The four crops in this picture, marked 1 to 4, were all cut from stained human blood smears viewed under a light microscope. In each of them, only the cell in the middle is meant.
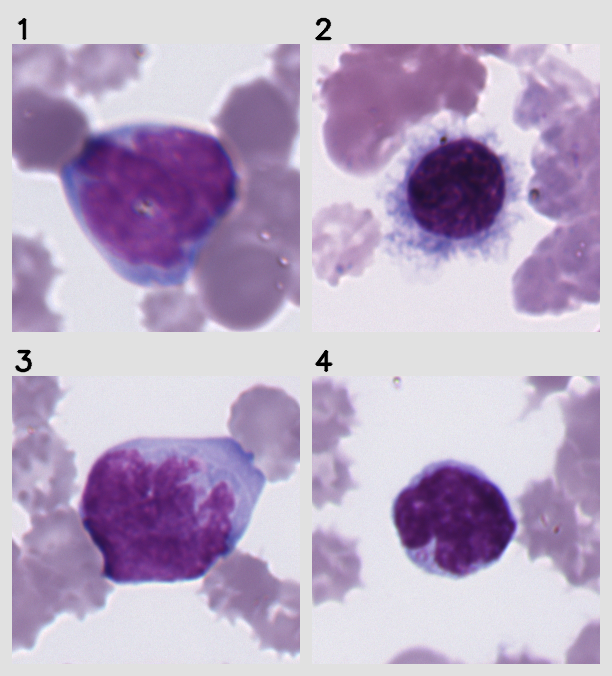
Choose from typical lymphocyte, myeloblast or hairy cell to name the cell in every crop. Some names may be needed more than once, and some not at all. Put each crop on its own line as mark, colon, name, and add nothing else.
1: myeloblast
2: hairy cell
3: myeloblast
4: typical lymphocyte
